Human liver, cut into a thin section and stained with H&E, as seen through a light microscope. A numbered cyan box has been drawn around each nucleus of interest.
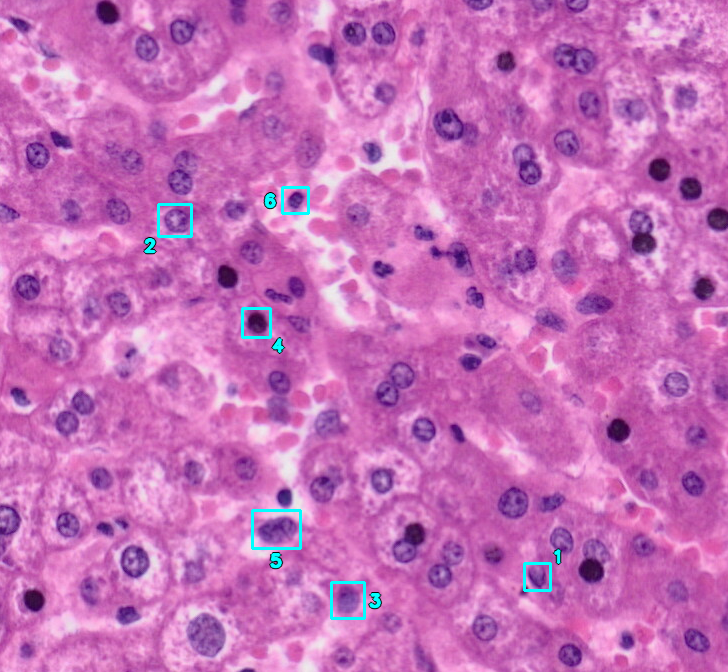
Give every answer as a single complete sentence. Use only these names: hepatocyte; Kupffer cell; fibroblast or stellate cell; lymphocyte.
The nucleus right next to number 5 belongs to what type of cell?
The nearest nucleus to number 5 belongs to a lymphocyte.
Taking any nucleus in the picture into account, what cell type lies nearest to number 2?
The nucleus nearest to number 2 is that of a hepatocyte.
